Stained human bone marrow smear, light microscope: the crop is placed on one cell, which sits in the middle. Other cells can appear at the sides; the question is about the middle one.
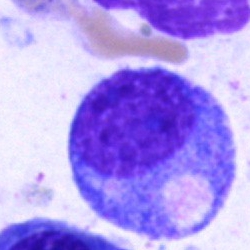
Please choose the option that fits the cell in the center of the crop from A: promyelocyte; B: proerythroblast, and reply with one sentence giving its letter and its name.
The middle of the crop contains a promyelocyte, so option A is right.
